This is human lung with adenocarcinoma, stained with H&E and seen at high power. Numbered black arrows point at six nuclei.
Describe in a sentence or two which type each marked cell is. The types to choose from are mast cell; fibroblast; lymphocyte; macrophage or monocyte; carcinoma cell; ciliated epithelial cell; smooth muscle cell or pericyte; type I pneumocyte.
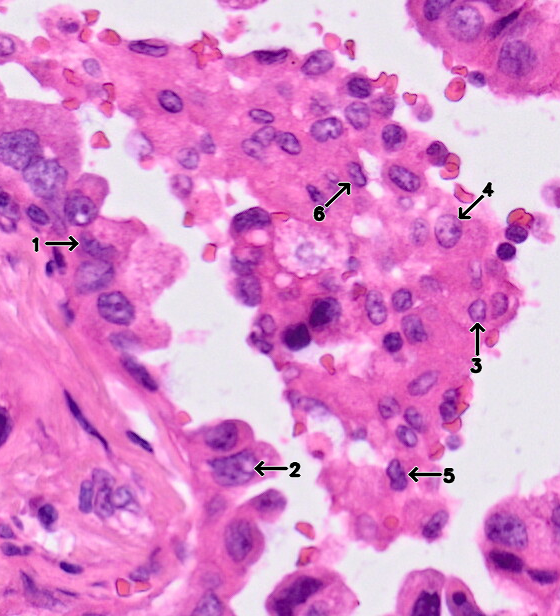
Cell 1 is a carcinoma cell, cell 2 is a carcinoma cell, cell 3 is a macrophage or monocyte, cell 4 is a macrophage or monocyte, cell 5 is a macrophage or monocyte and cell 6 is a macrophage or monocyte.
